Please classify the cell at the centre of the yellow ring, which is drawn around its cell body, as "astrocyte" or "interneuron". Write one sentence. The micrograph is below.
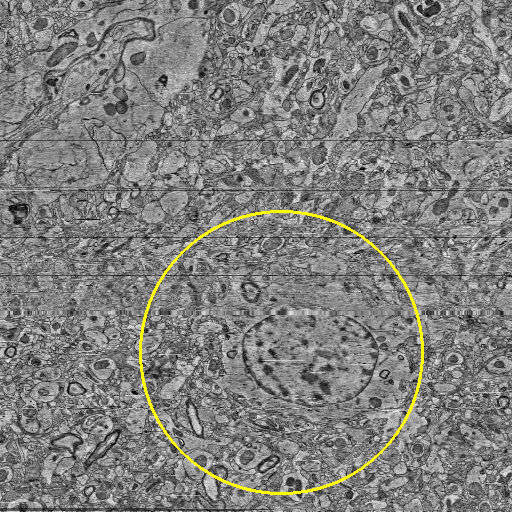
The cell at the ring's centre is classified as an astrocyte.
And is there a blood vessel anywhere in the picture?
Yes.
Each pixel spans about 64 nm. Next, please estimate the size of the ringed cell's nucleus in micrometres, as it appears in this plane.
In this plane the nucleus spans approximately 9 by 7 micrometers.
